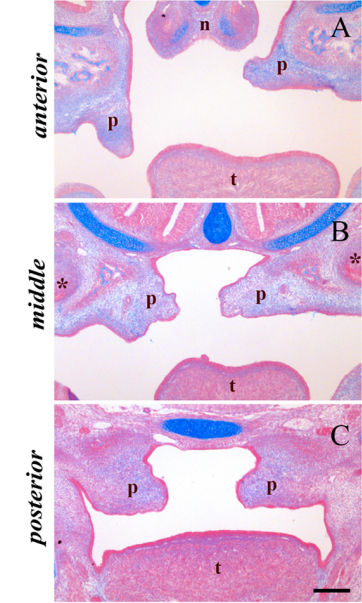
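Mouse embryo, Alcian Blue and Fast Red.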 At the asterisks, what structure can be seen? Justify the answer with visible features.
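Molar tooth bud. The asterisks sit on round, condensed, pink-red bodies at the lateral edges of the sections. These bodies lie lateral to the palatal shelves, within the jaw tissue.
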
